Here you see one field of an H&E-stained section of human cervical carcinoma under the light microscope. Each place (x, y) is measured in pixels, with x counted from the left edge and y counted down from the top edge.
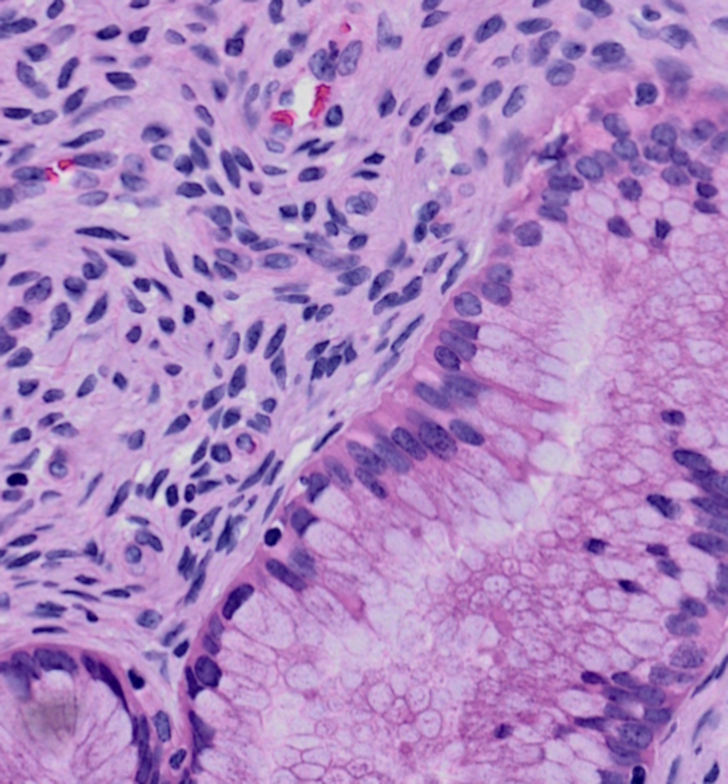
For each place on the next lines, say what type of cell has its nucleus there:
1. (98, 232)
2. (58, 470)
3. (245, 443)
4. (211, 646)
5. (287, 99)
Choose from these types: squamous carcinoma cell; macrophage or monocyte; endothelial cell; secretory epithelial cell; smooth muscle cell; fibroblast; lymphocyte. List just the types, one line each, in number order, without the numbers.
fibroblast
endothelial cell
endothelial cell
secretory epithelial cell
endothelial cell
